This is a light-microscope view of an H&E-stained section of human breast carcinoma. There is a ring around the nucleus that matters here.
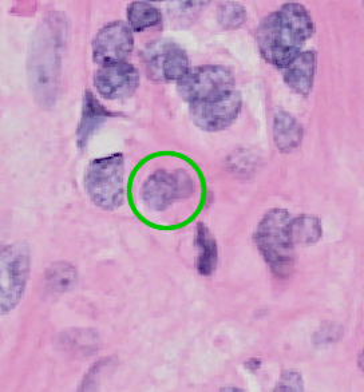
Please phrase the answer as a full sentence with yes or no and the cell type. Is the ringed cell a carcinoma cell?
Yes, it is a carcinoma cell that the ringed cell represents in this section.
